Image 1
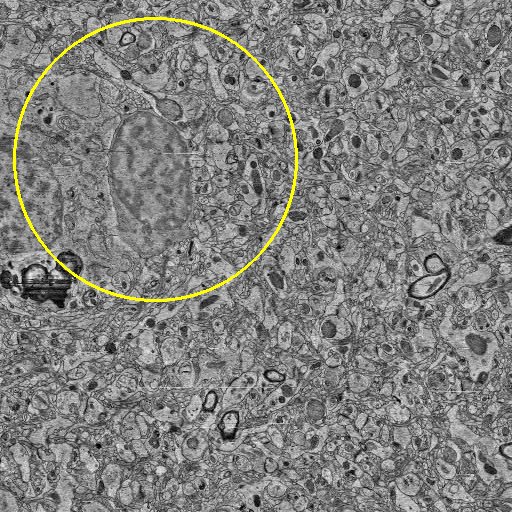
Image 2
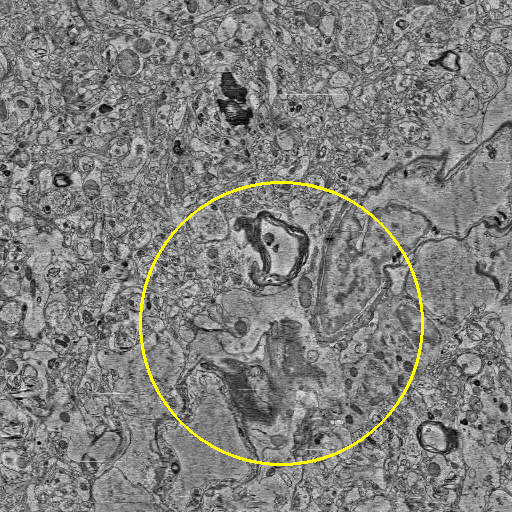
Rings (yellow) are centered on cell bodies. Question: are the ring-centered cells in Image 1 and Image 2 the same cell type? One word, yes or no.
yes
